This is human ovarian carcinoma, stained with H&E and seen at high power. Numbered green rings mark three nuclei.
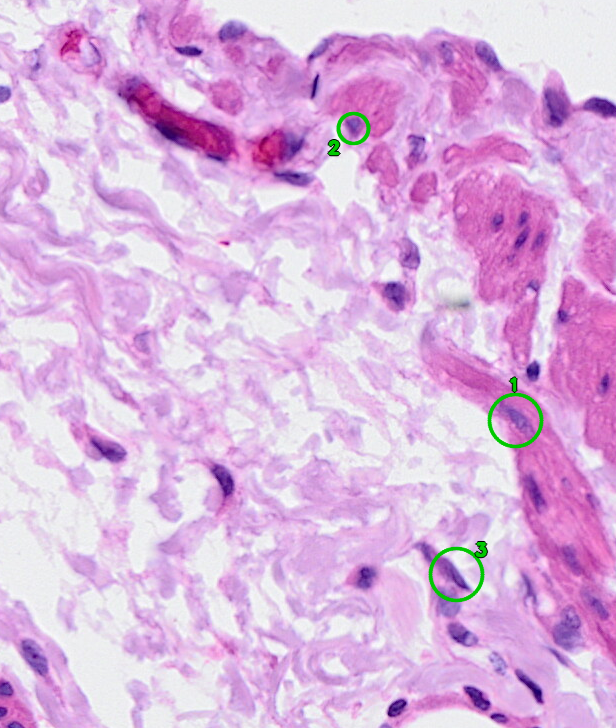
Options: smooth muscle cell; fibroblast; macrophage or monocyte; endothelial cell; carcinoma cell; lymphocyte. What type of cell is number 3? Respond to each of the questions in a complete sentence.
Heads up, the cell numbered 3 is a fibroblast.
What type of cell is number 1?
Here, the cell given the number 1 is a smooth muscle cell.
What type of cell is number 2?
The cell that is numbered 2 is a smooth muscle cell.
